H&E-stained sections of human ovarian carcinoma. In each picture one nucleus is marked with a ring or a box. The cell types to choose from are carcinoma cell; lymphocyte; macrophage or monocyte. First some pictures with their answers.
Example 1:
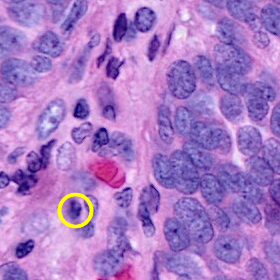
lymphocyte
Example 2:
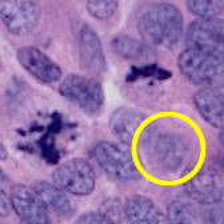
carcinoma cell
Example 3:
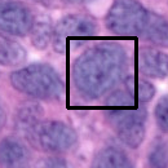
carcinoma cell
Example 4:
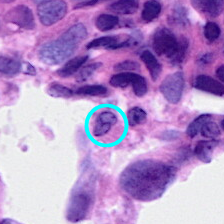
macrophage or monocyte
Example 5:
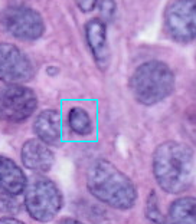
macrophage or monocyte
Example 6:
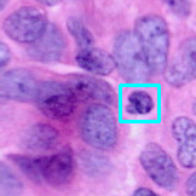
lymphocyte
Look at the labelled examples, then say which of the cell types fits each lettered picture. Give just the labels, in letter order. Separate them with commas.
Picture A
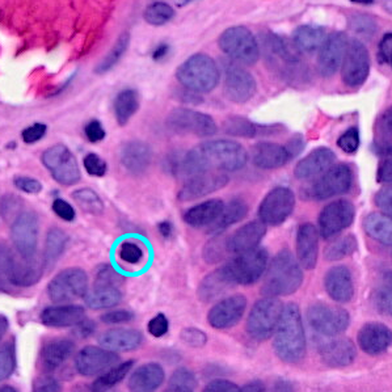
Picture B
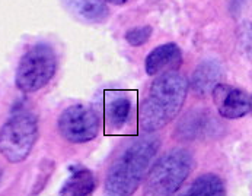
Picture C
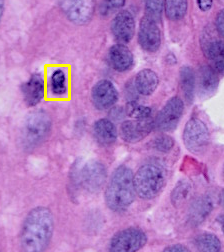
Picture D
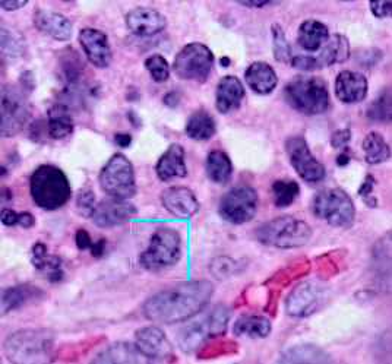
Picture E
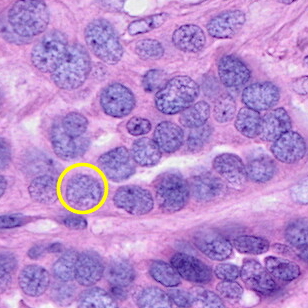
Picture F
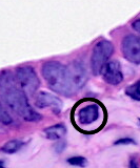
lymphocyte, lymphocyte, lymphocyte, macrophage or monocyte, carcinoma cell, lymphocyte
